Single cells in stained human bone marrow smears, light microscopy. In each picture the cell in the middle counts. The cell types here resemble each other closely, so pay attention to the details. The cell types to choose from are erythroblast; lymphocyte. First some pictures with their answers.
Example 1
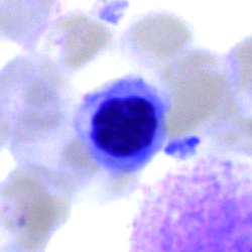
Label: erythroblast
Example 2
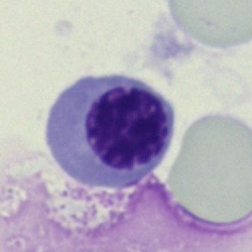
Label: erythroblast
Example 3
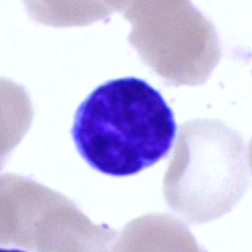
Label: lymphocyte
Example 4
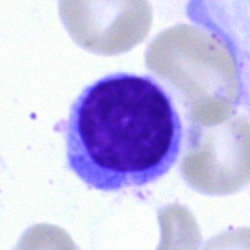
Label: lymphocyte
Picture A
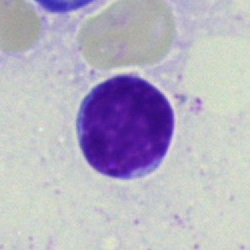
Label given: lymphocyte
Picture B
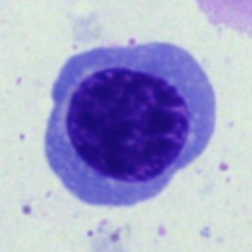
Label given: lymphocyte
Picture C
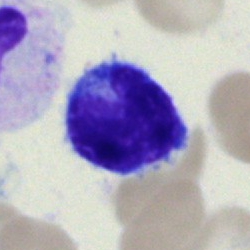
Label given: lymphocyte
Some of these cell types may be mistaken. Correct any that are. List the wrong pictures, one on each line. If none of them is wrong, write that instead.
B: not lymphocyte but erythroblast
